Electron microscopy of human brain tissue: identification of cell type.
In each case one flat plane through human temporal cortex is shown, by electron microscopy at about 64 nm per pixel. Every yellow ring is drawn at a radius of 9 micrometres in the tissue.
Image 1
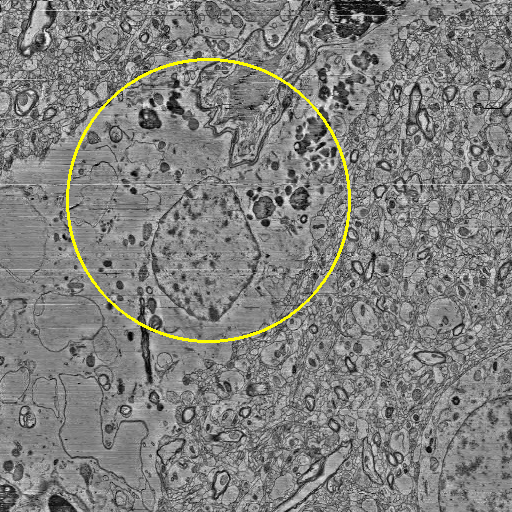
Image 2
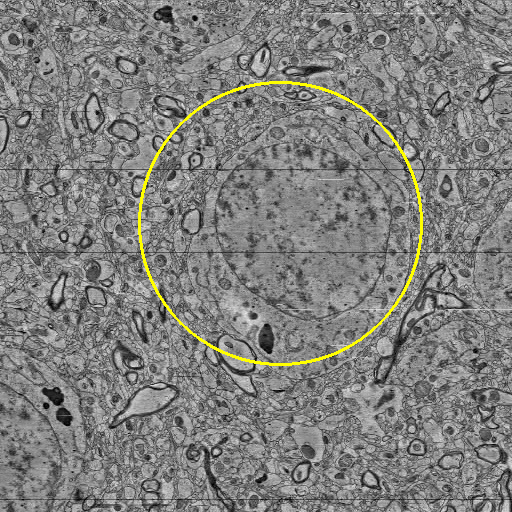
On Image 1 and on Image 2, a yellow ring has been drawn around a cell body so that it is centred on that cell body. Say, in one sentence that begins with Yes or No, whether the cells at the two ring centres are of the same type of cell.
No, the two cells are two separate types of cell.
